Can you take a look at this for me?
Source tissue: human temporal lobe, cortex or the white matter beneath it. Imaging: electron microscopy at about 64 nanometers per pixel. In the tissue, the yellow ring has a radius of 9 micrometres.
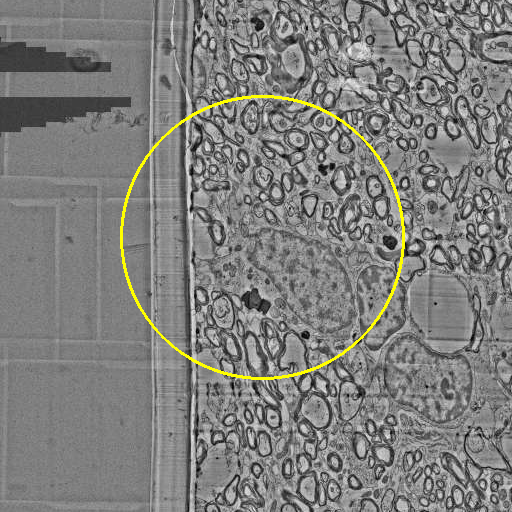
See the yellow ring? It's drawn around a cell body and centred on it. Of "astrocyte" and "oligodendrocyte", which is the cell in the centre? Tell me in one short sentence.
The one in the centre is an oligodendrocyte.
